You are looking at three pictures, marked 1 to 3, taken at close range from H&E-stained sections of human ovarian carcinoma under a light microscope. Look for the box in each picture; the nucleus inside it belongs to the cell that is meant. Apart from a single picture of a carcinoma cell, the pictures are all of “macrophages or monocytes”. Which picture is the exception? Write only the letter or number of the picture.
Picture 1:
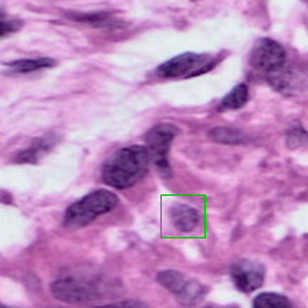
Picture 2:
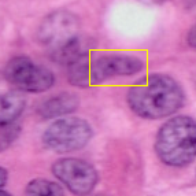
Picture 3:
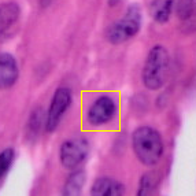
2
